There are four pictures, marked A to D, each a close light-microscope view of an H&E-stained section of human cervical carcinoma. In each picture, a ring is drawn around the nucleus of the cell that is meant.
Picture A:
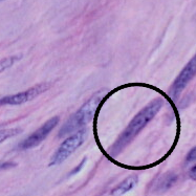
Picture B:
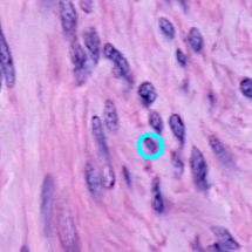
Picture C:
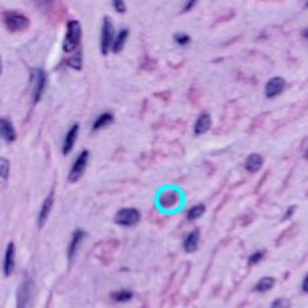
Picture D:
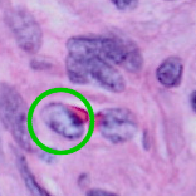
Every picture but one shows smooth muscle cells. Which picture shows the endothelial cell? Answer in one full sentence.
Picture D shows the endothelial cell.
